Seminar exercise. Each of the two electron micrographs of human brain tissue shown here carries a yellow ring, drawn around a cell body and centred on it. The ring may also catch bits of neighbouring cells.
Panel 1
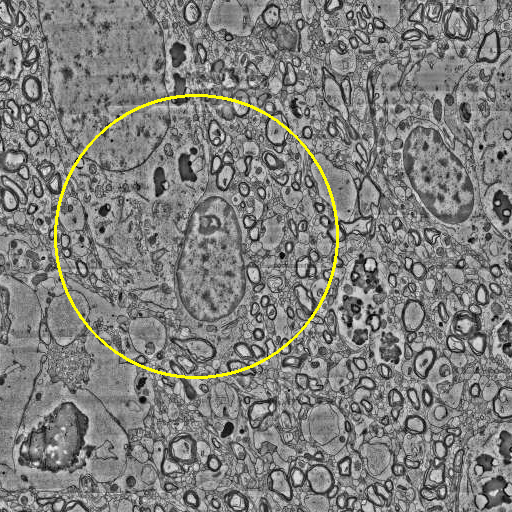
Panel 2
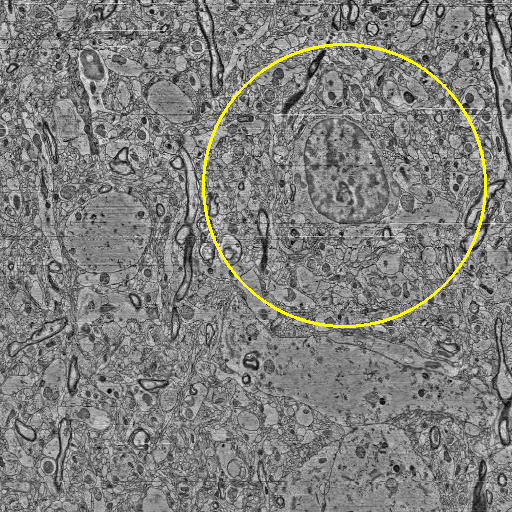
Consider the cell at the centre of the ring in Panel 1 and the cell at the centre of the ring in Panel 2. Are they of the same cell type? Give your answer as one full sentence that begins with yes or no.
Yes, both cells are of the same type.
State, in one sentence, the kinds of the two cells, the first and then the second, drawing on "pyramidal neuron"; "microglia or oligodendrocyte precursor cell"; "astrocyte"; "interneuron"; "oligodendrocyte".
Each of the two rings is centred on an oligodendrocyte.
